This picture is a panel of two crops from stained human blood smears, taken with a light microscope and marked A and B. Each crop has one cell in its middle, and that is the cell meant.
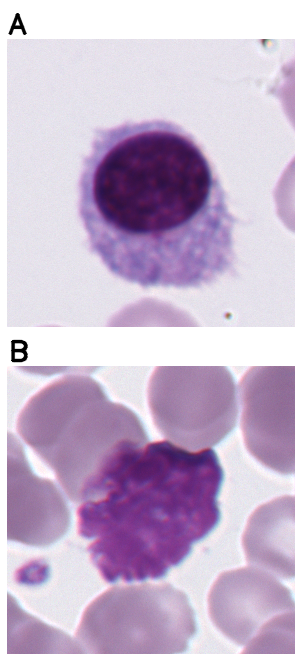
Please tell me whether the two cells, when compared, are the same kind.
no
